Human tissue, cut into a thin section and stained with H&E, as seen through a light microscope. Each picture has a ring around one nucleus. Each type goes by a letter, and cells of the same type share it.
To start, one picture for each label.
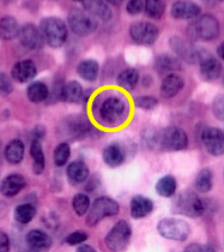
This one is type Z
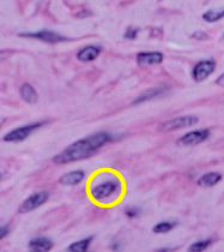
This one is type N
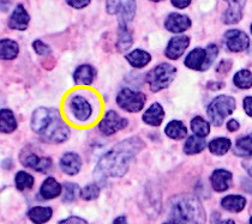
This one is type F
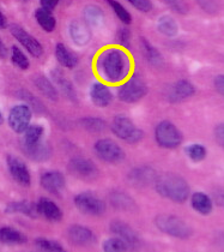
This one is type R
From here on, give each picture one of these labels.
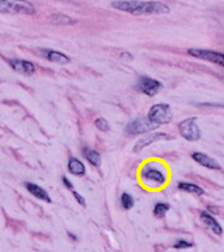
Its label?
type N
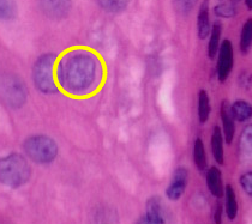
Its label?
type R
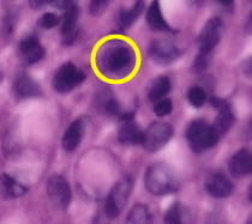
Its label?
type R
